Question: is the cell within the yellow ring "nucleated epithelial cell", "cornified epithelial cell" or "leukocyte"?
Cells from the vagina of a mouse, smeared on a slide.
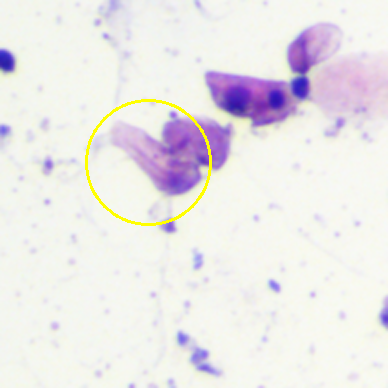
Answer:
cornified epithelial cell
